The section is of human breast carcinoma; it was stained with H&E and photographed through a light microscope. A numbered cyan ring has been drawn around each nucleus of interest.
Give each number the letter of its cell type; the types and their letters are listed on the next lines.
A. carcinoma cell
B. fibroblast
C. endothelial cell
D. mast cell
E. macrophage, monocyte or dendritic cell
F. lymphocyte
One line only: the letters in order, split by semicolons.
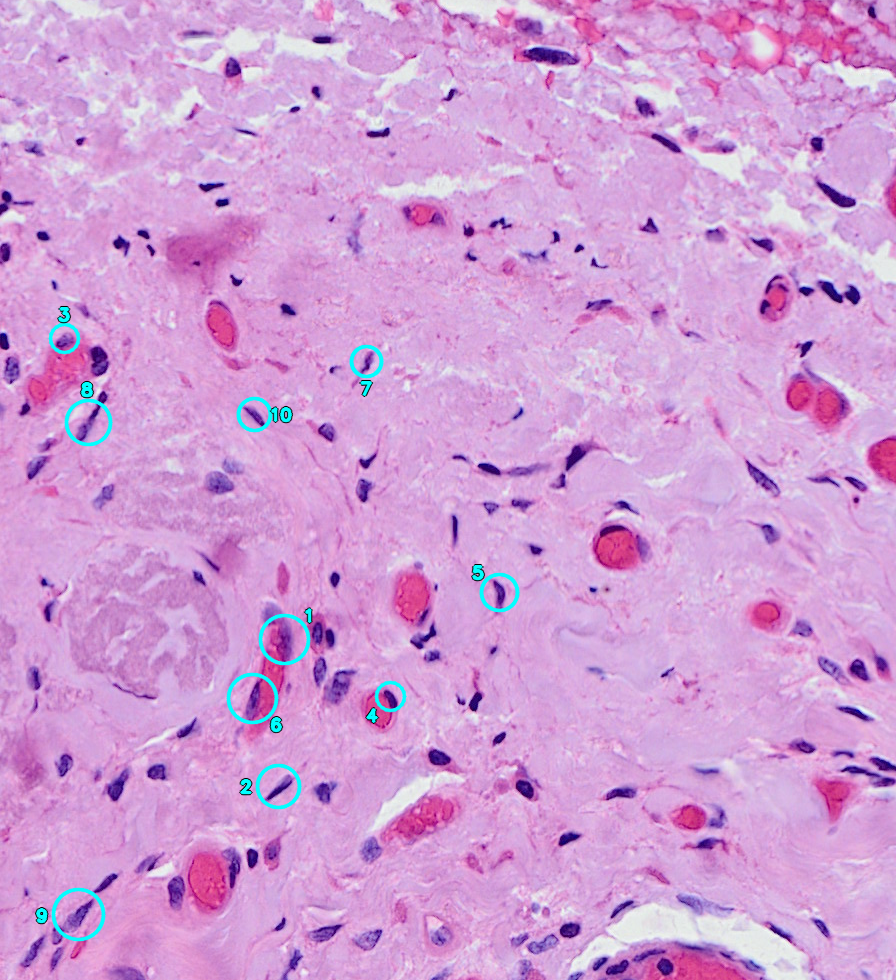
C; B; C; C; B; C; B; B; B; B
